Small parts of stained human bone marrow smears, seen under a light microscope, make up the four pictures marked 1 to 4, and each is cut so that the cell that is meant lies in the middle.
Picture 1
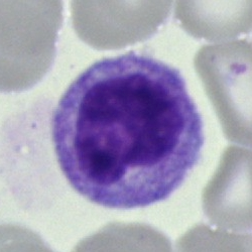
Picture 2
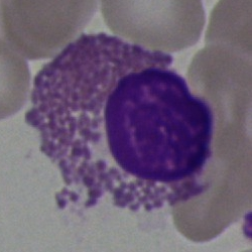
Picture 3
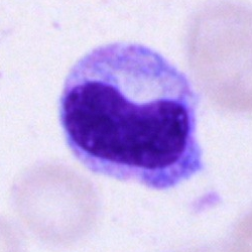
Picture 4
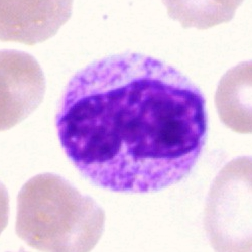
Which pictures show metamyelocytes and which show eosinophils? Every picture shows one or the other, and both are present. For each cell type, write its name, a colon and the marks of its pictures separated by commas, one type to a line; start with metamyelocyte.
metamyelocyte: 1, 3, 4
eosinophil: 2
